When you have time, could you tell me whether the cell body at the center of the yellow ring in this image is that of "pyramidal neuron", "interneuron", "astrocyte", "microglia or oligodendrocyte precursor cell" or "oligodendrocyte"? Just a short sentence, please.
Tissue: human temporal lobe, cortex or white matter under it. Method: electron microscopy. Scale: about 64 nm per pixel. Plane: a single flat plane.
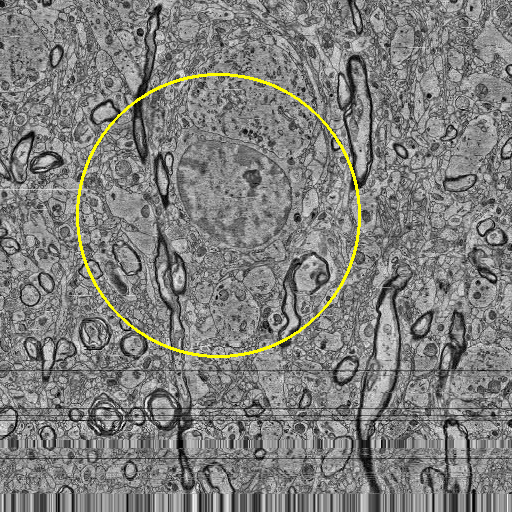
The cell body at the center of the ring is that of an oligodendrocyte.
